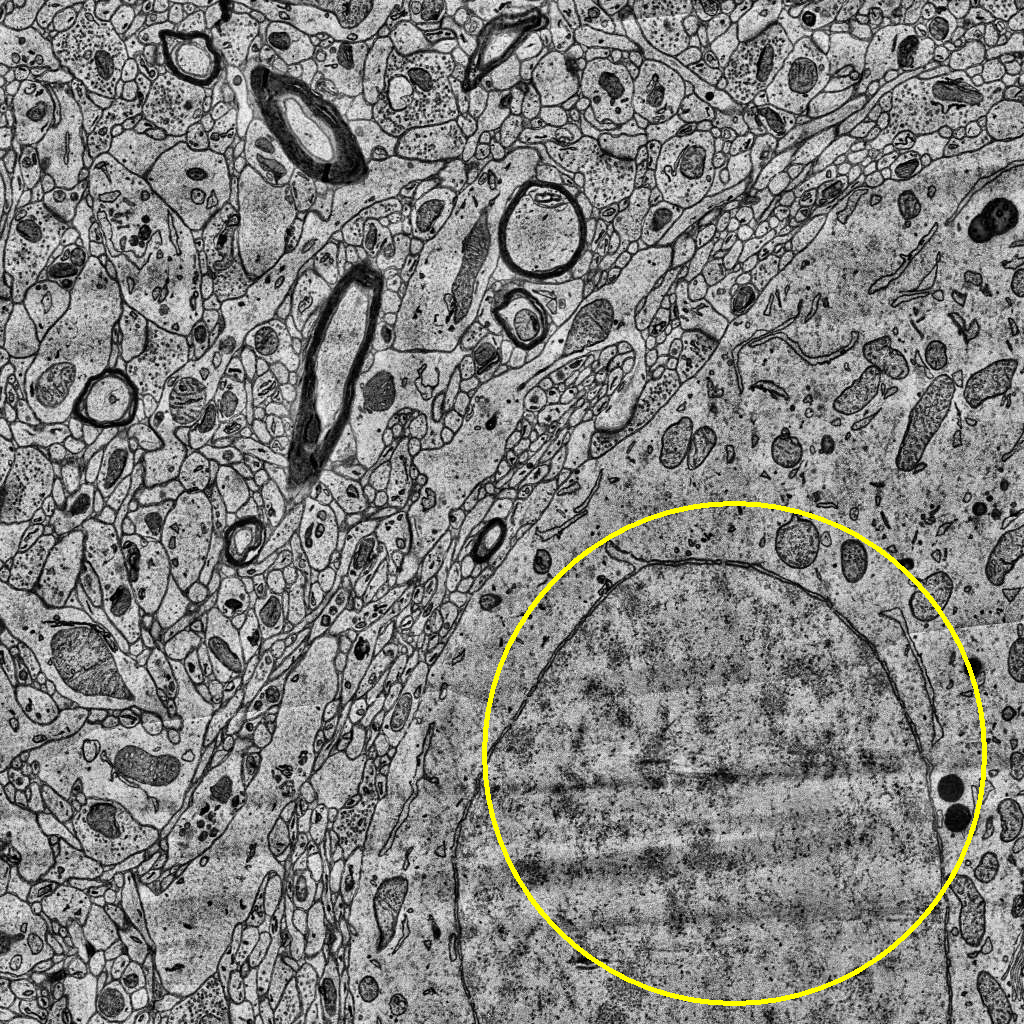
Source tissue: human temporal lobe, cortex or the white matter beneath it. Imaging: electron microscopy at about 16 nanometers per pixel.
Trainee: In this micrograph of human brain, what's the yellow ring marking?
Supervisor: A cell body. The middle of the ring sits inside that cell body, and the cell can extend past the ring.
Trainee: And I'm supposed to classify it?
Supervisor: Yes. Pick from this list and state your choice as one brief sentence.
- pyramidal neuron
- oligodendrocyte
The cell at the ring's center is a pyramidal neuron.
